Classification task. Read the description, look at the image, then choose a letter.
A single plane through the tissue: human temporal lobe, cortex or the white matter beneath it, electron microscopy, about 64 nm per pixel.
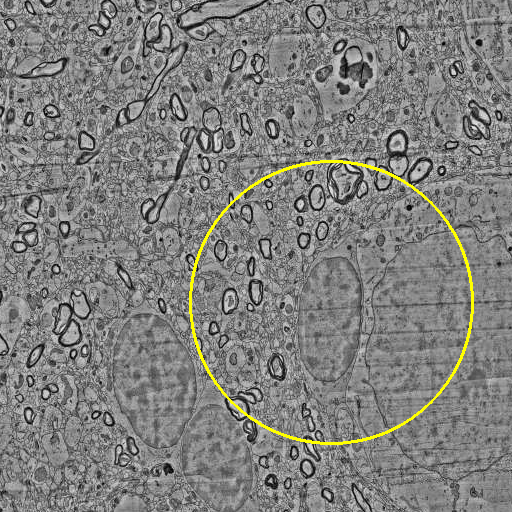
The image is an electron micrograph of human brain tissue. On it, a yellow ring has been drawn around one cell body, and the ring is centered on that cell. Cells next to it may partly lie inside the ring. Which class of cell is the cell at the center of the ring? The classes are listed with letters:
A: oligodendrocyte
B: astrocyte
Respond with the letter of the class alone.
A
